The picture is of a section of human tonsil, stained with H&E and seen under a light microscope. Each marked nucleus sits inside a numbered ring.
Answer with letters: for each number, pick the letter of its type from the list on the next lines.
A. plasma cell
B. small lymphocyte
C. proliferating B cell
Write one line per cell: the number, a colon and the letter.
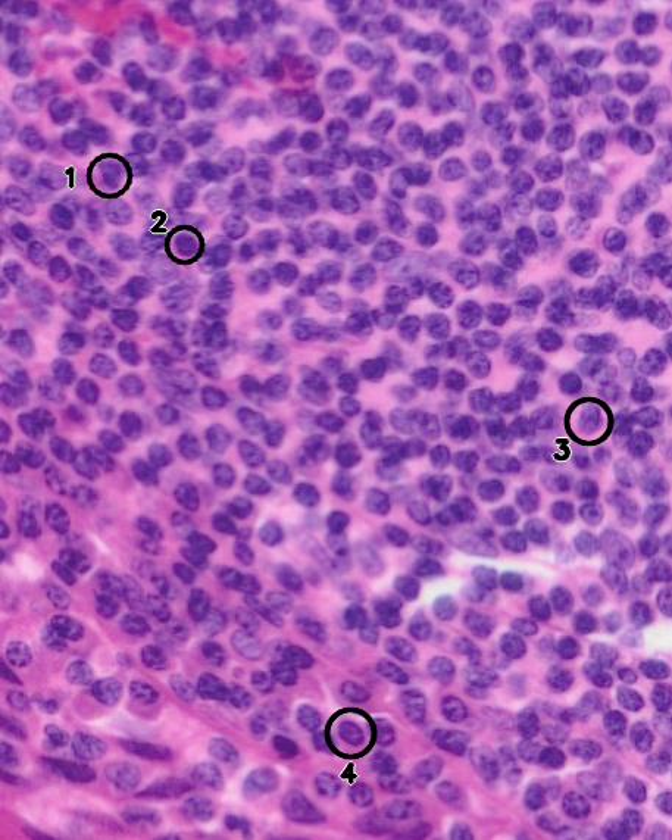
1: B
2: B
3: B
4: A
